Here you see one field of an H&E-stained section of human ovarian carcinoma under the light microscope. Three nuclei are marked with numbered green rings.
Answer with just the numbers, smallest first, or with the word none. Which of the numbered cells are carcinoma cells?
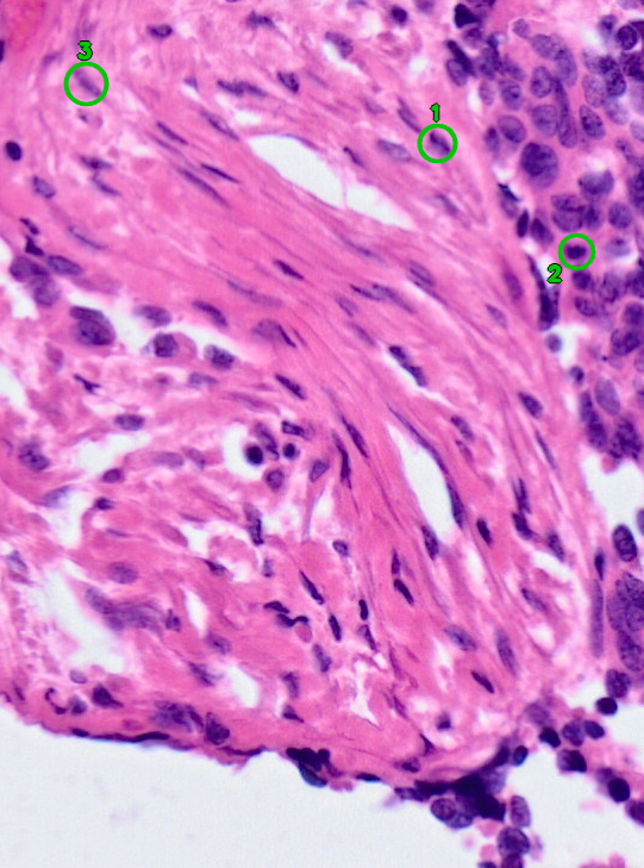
2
